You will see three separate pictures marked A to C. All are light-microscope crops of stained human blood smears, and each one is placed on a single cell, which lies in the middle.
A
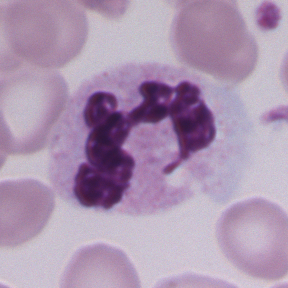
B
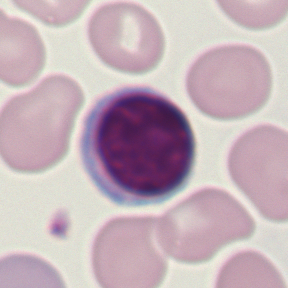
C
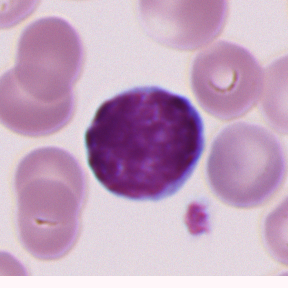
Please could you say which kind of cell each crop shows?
A: segmented neutrophil
B: typical lymphocyte
C: typical lymphocyte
